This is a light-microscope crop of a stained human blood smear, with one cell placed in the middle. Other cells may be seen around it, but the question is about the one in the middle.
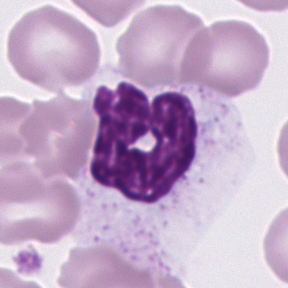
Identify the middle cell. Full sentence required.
The central cell, amid any neighbouring cells, is a segmented neutrophil.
